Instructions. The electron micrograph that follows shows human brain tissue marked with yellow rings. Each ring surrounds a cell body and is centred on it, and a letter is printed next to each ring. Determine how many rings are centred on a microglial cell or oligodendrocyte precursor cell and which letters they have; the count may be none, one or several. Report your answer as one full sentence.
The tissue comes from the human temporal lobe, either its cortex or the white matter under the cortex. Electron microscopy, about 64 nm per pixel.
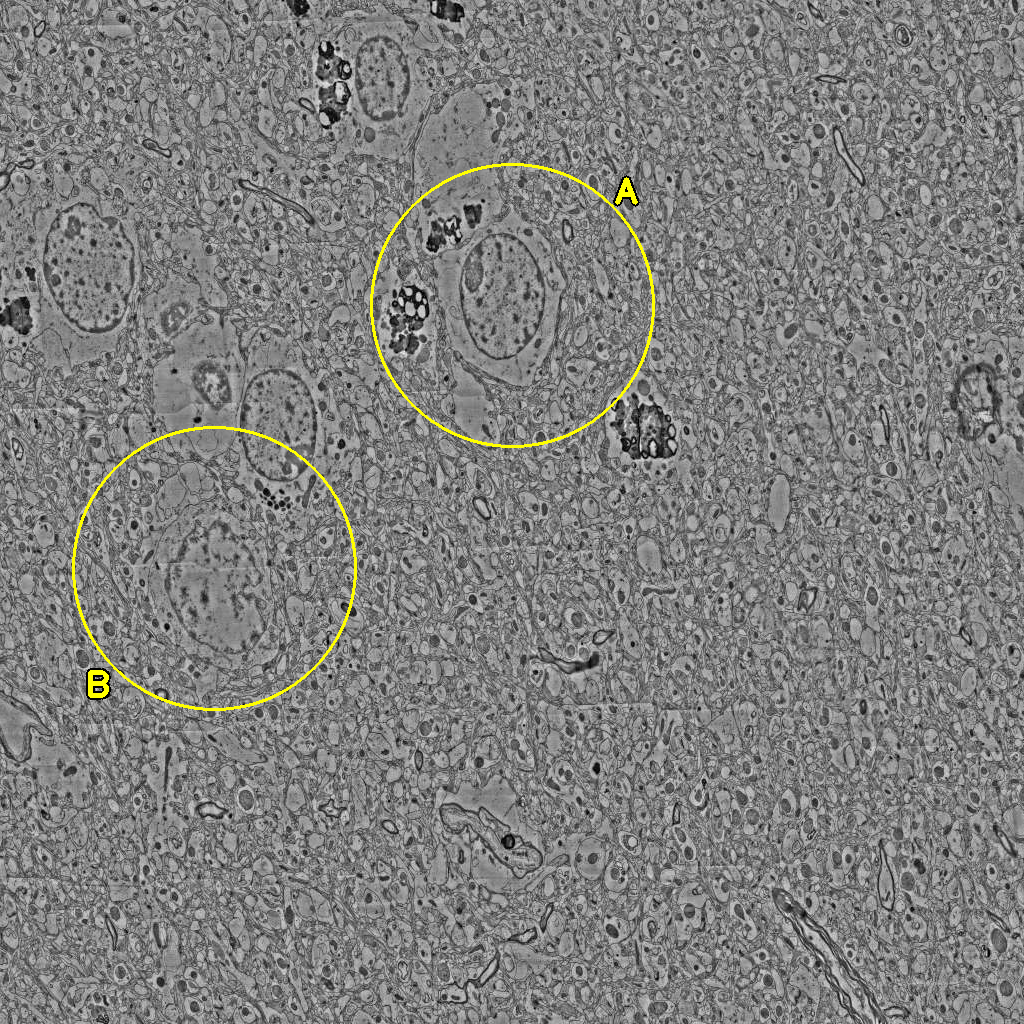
No single ring in the set is centred on a microglial cell or oligodendrocyte precursor cell, and so the count equals zero.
